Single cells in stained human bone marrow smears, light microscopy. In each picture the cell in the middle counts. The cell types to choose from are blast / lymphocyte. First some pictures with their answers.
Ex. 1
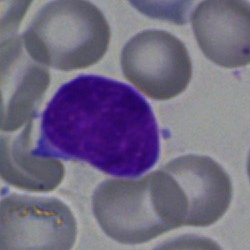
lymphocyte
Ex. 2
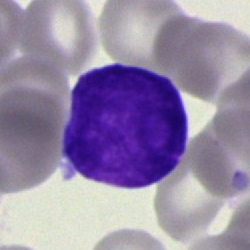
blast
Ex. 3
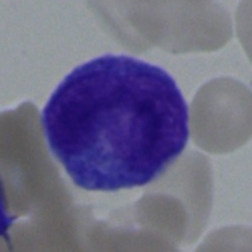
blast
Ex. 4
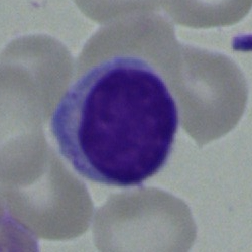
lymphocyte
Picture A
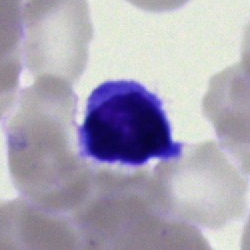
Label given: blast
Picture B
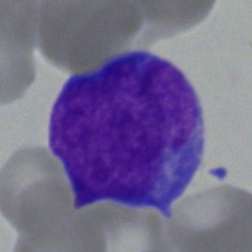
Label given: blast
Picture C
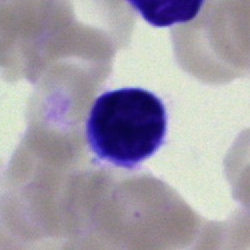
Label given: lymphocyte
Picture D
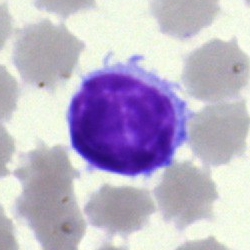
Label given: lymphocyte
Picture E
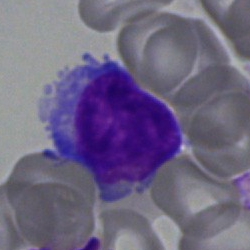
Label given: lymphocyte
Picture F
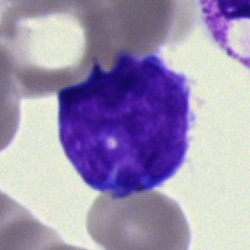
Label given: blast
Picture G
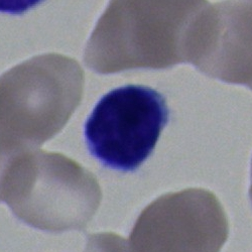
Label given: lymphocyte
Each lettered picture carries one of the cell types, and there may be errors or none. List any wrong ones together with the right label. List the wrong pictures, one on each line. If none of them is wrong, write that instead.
A should be lymphocyte, not blast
